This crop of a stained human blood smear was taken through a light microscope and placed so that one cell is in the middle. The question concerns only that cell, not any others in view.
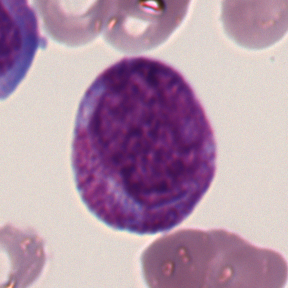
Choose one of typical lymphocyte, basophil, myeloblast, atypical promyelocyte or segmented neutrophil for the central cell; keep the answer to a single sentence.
The cell in the middle of this crop is an atypical promyelocyte.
